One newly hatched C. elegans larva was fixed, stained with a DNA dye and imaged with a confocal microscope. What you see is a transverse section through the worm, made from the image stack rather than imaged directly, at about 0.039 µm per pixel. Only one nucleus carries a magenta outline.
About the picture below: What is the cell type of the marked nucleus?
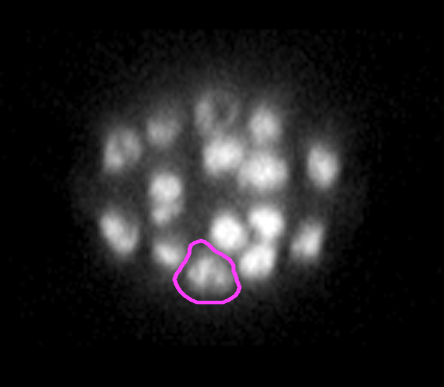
seam cell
